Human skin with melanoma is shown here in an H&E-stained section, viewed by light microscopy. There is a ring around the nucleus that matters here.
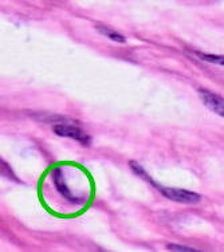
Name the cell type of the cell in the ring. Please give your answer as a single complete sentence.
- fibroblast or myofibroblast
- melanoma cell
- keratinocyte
By cell type, the cell in the ring is a fibroblast or myofibroblast.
